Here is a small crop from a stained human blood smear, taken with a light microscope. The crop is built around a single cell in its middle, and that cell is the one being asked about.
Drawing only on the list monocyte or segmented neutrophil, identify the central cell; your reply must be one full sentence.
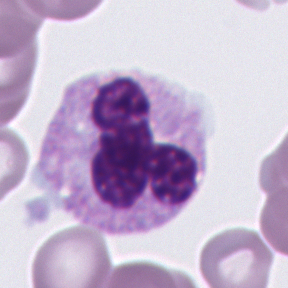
The middle cell in this particular crop is a segmented neutrophil.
